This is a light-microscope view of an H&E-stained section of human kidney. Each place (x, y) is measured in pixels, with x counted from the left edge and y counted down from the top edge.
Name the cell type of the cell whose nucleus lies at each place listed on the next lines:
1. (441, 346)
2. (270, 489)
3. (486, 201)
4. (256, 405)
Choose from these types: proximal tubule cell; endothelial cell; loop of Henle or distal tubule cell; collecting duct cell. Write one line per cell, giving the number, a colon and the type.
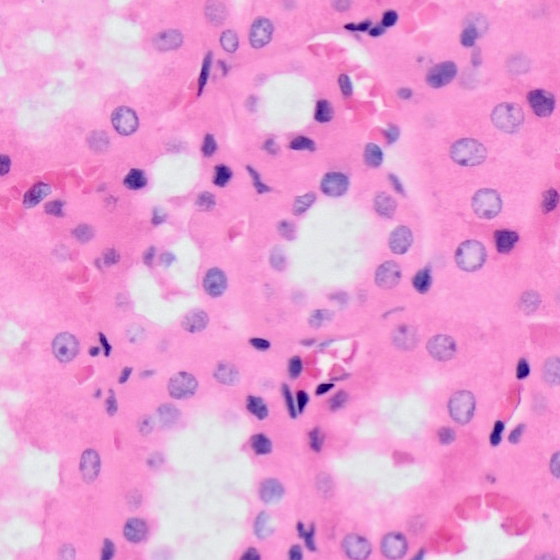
1: proximal tubule cell
2: loop of Henle or distal tubule cell
3: proximal tubule cell
4: loop of Henle or distal tubule cell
